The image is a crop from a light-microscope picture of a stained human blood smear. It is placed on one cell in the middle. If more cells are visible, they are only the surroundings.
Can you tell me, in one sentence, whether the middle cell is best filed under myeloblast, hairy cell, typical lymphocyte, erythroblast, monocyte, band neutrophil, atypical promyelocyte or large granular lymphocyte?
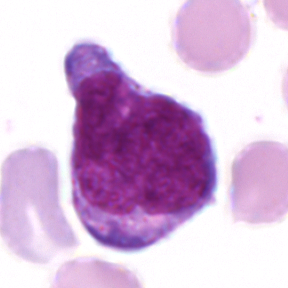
The target cell in the middle of the crop is an atypical promyelocyte.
